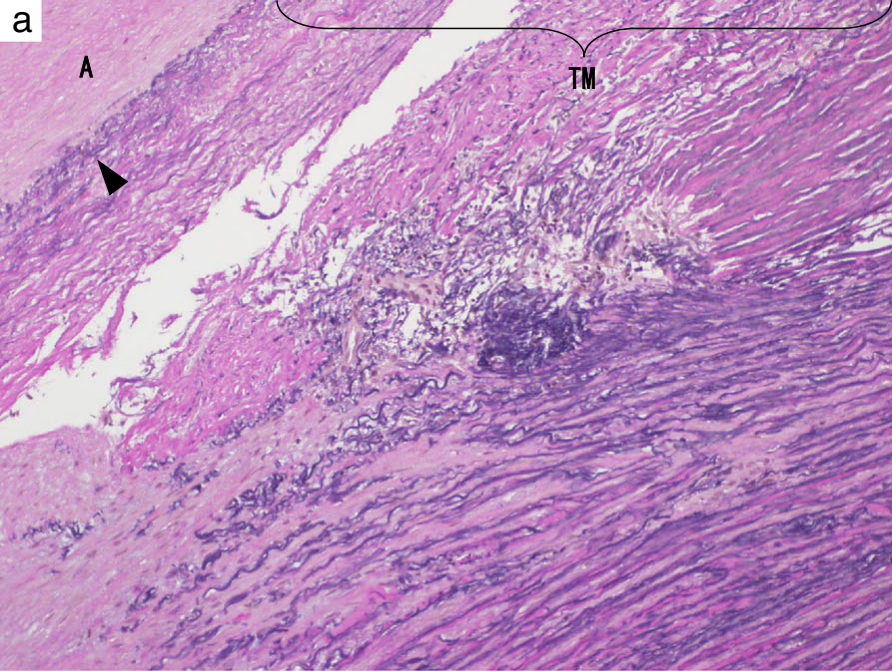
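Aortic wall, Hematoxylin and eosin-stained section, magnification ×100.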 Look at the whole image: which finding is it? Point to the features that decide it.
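A dense dark purple cluster of small nuclei lies in the middle of the layered wall. Loose disrupted tissue with scattered small dark nuclei surrounds the cluster.
Hence: infiltration of inflammatory cells.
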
